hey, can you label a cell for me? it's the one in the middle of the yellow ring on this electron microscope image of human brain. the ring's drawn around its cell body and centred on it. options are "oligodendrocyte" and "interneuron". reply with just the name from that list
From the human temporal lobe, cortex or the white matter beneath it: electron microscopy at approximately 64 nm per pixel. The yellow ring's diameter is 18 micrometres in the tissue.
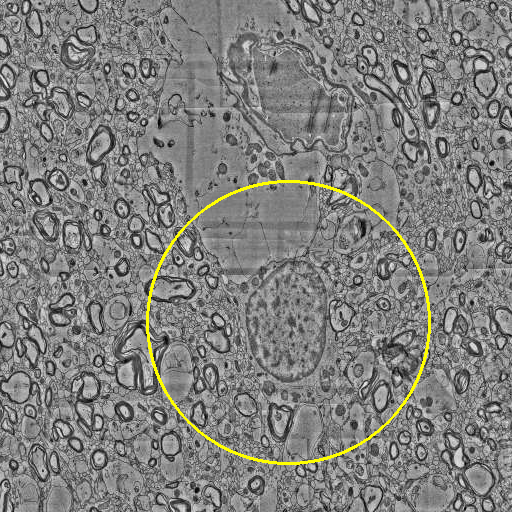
oligodendrocyte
